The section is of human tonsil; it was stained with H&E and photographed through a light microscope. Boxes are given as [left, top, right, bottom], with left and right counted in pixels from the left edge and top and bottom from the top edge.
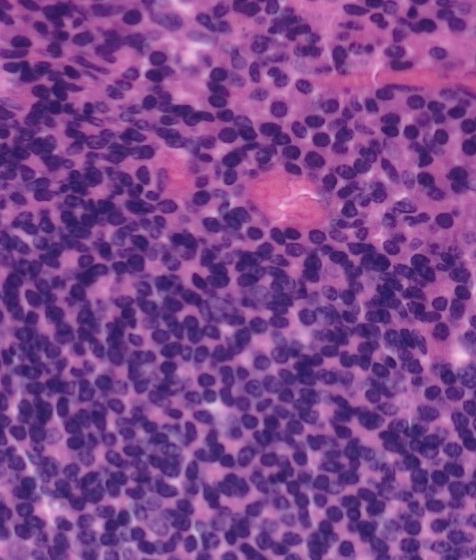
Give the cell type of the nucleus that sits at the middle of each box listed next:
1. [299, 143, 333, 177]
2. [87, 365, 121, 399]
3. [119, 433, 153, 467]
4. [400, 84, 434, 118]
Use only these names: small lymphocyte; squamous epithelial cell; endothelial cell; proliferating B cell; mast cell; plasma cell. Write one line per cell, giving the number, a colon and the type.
1: plasma cell
2: small lymphocyte
3: small lymphocyte
4: plasma cell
